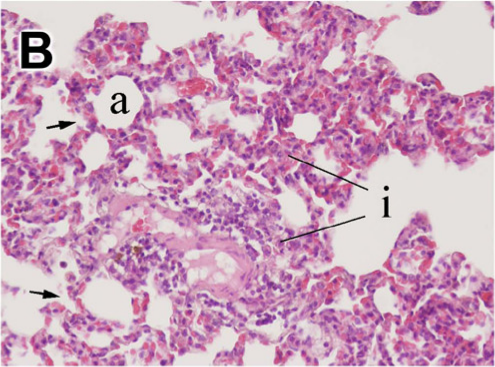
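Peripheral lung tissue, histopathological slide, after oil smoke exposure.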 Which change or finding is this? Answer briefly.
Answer: Interstitial pneumonitis.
